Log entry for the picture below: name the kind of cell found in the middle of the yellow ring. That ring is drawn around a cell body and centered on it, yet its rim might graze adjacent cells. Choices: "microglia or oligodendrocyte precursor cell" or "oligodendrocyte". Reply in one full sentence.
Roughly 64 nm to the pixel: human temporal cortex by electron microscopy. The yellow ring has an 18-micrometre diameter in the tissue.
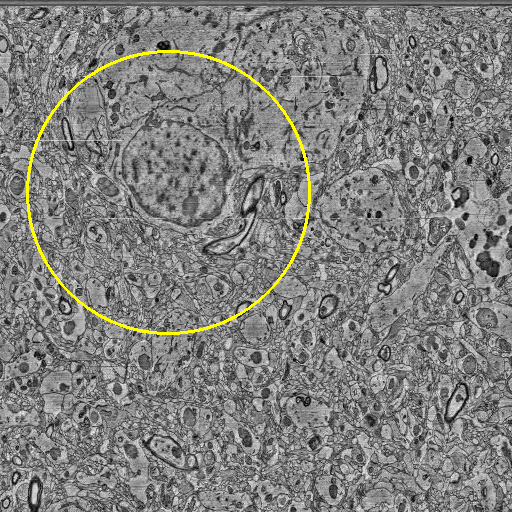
The cell in the middle of the yellow ring in this picture is a microglial cell or oligodendrocyte precursor cell.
